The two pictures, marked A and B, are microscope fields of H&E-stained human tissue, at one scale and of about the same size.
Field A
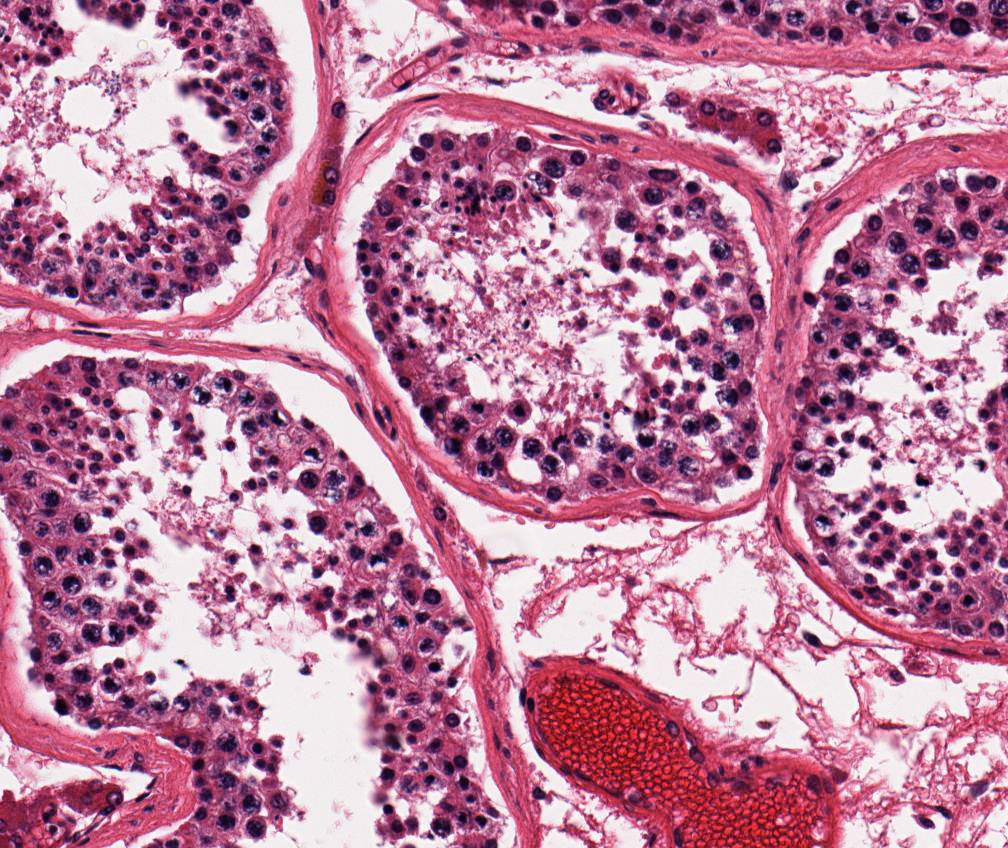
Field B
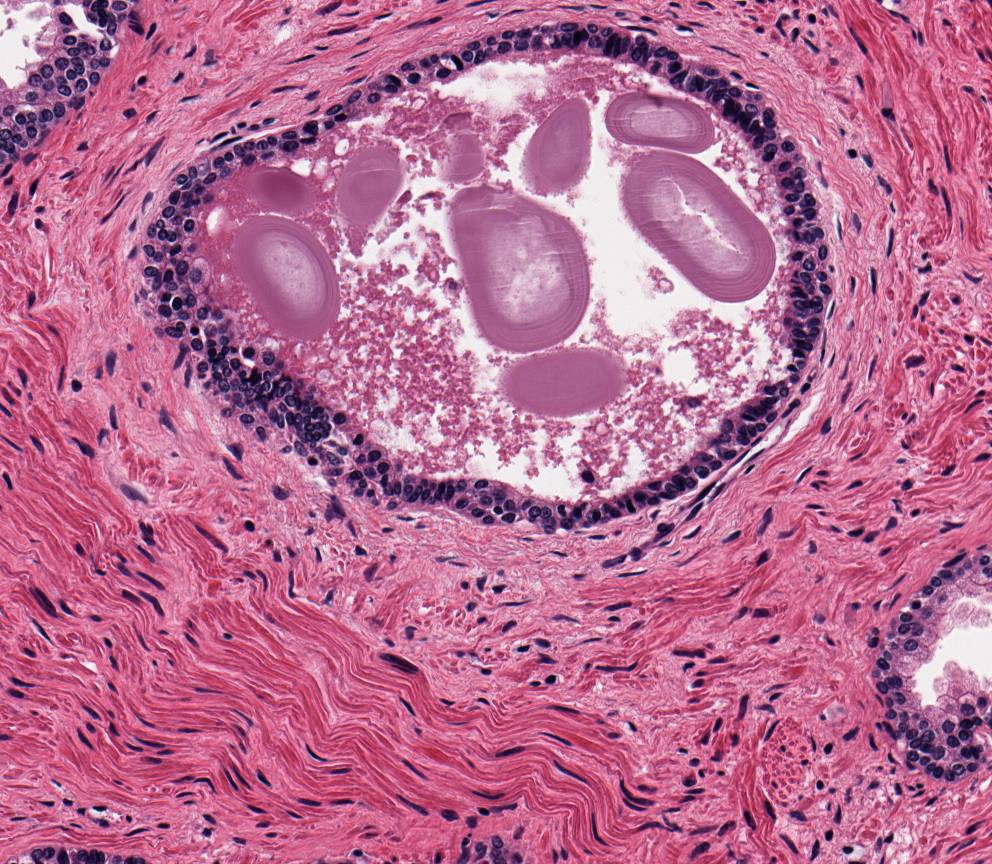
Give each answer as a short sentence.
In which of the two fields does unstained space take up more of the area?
It is field A in which white space covers the larger part.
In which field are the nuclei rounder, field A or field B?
The nuclei are rounder in field A.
